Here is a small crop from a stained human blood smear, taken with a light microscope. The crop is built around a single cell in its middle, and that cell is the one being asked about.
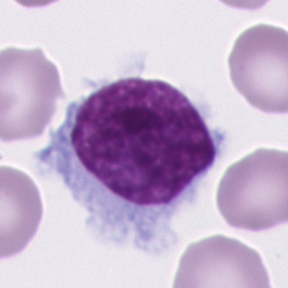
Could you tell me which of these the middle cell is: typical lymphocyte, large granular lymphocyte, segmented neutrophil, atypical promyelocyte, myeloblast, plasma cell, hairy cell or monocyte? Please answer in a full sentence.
Regarding the central cell, it is a hairy cell.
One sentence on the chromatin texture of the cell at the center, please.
Its chromatin is finely dispersed rather than coarsely clumped.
